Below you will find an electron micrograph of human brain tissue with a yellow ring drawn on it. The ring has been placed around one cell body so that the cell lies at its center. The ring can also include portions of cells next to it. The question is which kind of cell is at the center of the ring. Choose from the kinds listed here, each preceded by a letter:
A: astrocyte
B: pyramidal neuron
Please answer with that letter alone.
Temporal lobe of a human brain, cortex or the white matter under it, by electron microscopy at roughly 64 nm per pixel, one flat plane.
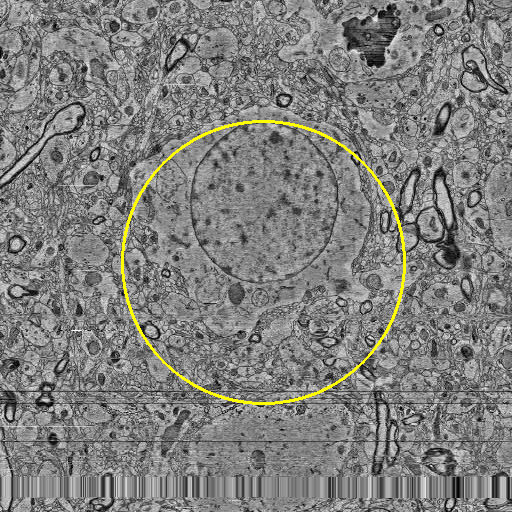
A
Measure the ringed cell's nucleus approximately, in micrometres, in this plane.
About 10 micrometres across in this plane, for the nucleus.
